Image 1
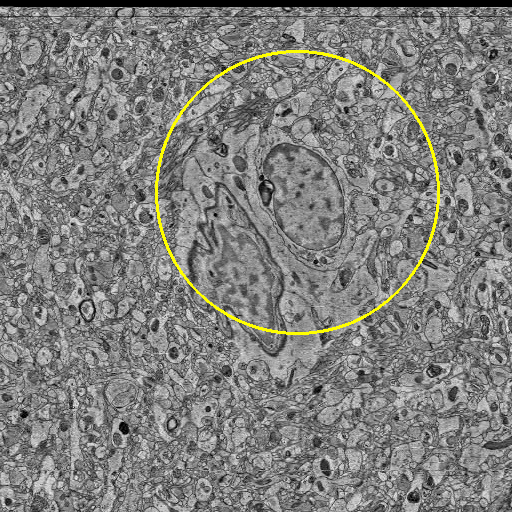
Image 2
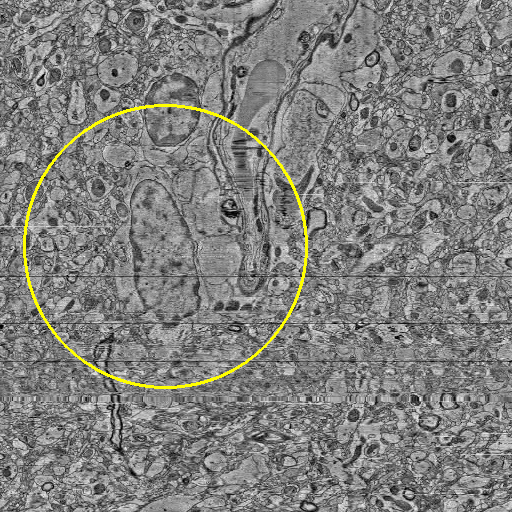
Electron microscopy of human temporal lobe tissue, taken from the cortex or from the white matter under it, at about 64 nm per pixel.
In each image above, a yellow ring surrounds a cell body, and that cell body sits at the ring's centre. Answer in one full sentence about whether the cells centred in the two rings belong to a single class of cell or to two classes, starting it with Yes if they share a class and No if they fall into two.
Yes, the cells centred in the two yellow rings belong to a single class of cell.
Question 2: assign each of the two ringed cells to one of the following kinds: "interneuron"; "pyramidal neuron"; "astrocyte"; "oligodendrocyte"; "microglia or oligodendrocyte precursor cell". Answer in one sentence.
Both cells are the same kind, each one being a microglial cell or oligodendrocyte precursor cell.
